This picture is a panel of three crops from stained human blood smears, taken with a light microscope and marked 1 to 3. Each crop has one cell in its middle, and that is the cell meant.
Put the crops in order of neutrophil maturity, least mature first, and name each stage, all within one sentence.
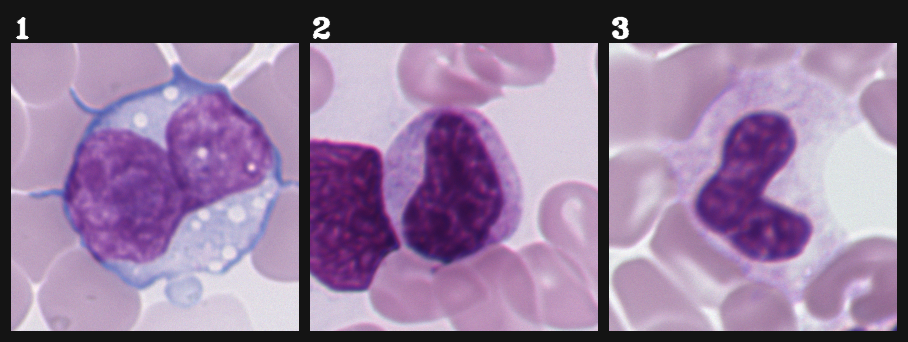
So the order, from least to most mature, is crop 1 (a blast), crop 2 (a metamyelocyte) and crop 3 (a band neutrophil).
